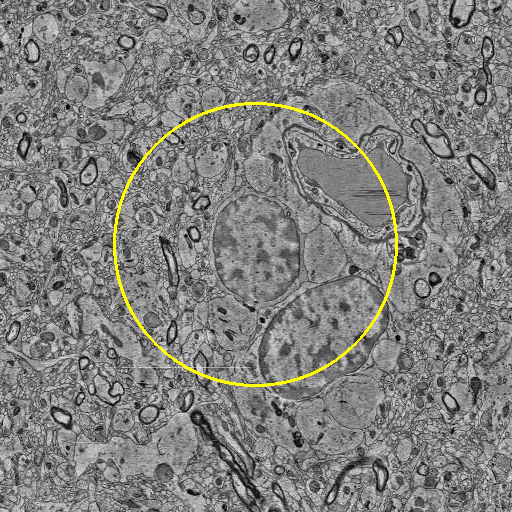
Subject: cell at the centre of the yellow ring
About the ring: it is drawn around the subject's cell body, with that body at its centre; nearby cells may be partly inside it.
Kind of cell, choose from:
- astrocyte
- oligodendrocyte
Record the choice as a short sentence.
The subject cell is an oligodendrocyte.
